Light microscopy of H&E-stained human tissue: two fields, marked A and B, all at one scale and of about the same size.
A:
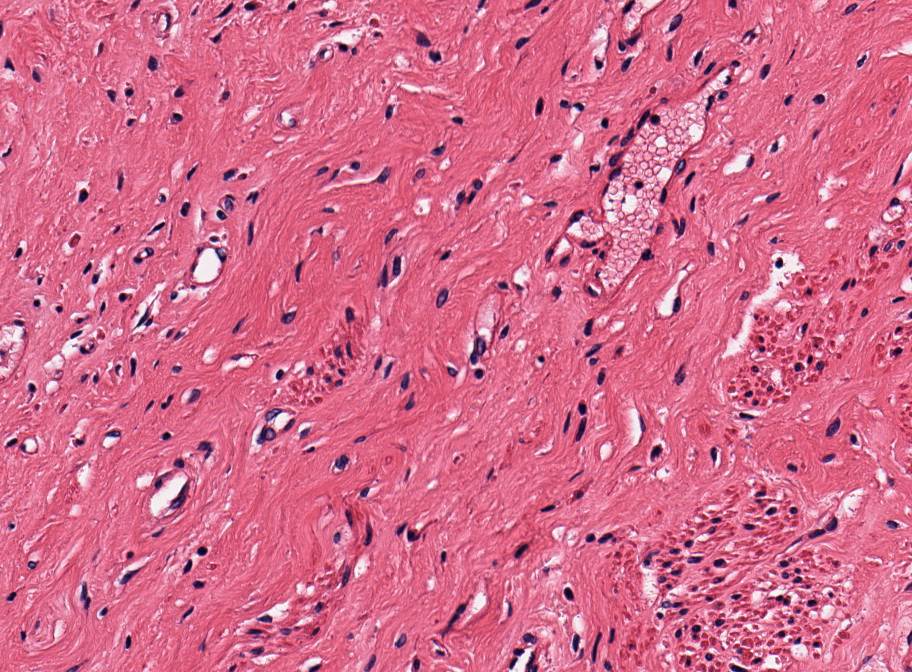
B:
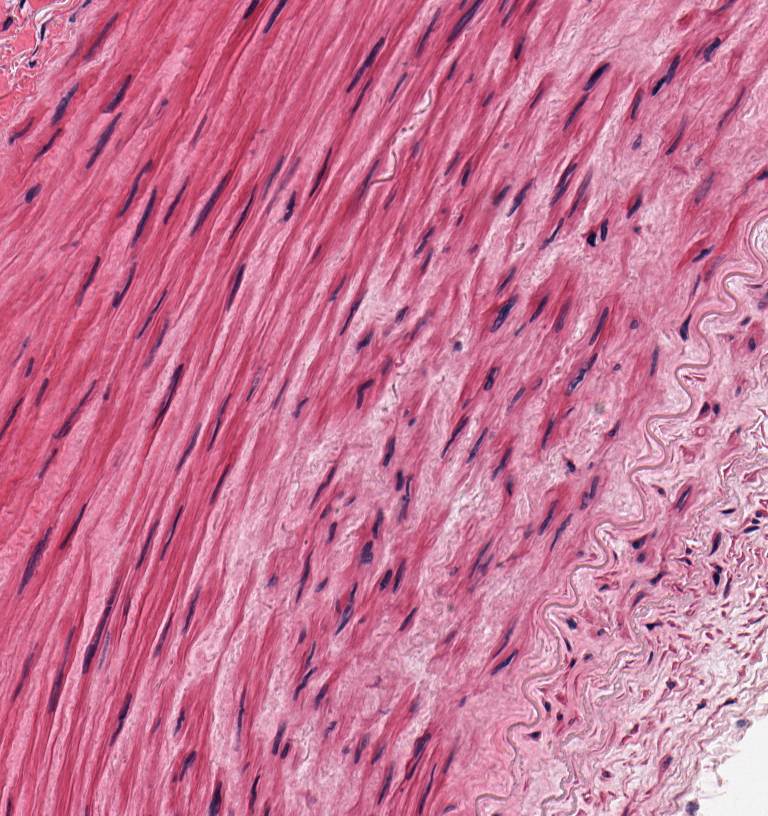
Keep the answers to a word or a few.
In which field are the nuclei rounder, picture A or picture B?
A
